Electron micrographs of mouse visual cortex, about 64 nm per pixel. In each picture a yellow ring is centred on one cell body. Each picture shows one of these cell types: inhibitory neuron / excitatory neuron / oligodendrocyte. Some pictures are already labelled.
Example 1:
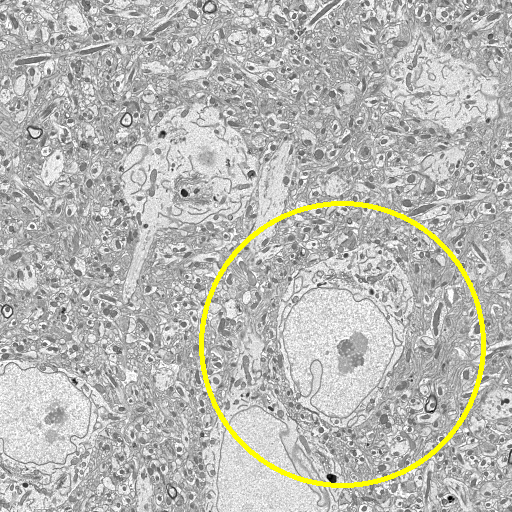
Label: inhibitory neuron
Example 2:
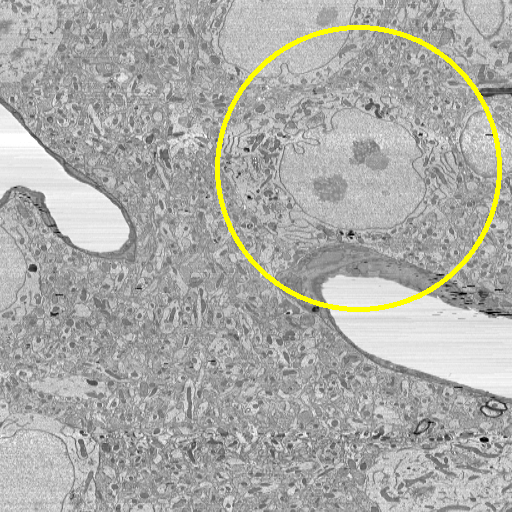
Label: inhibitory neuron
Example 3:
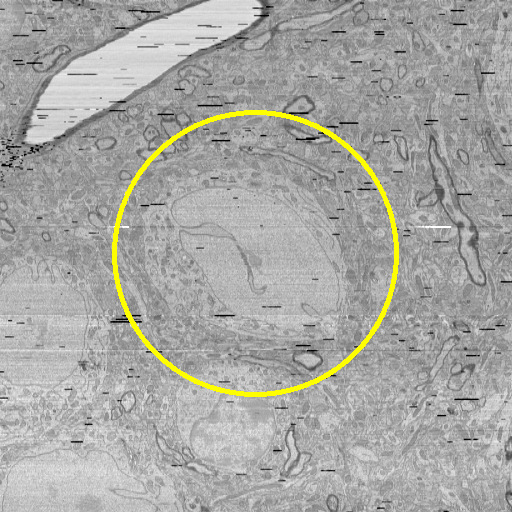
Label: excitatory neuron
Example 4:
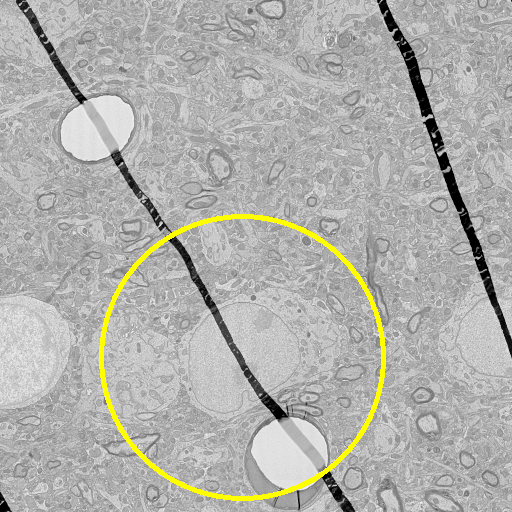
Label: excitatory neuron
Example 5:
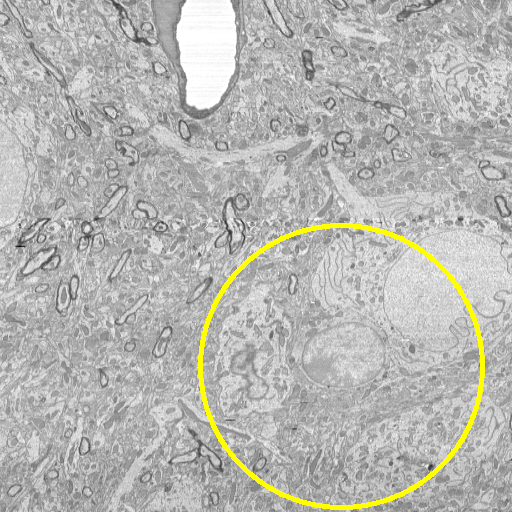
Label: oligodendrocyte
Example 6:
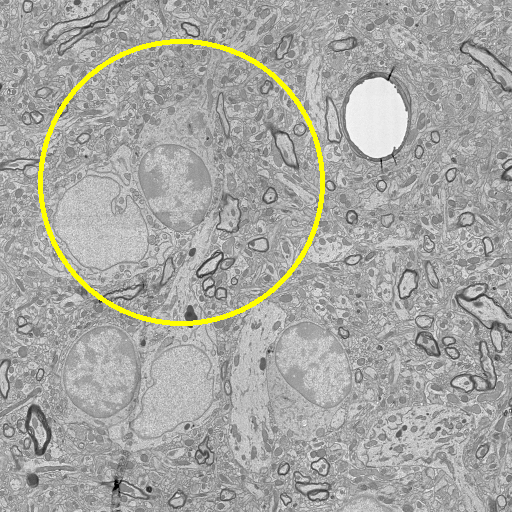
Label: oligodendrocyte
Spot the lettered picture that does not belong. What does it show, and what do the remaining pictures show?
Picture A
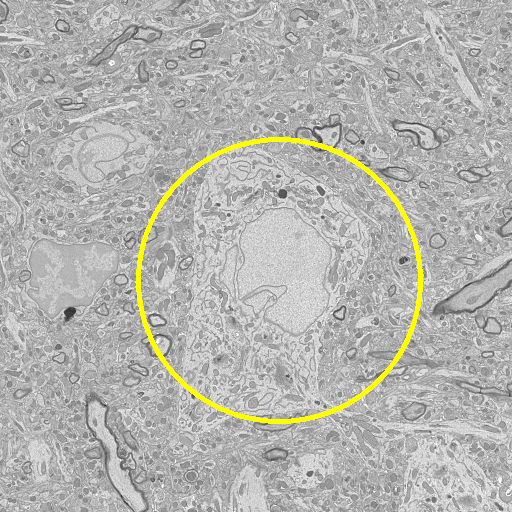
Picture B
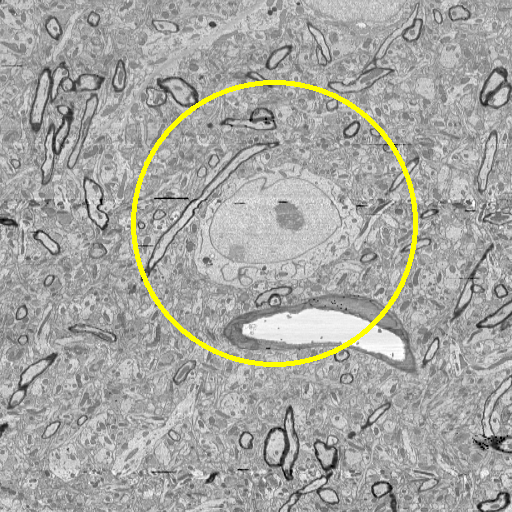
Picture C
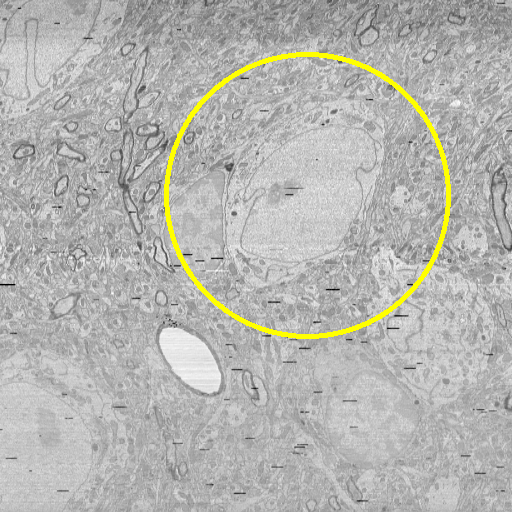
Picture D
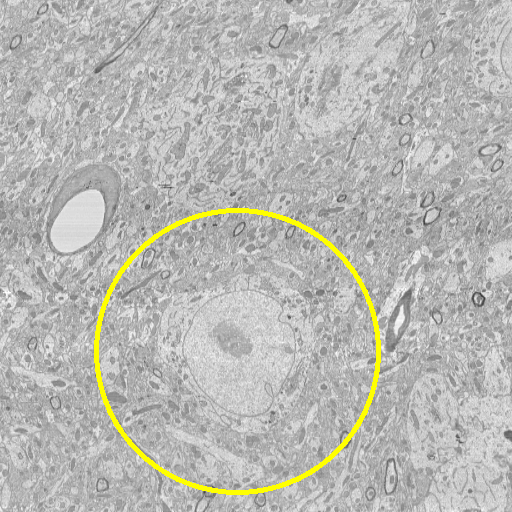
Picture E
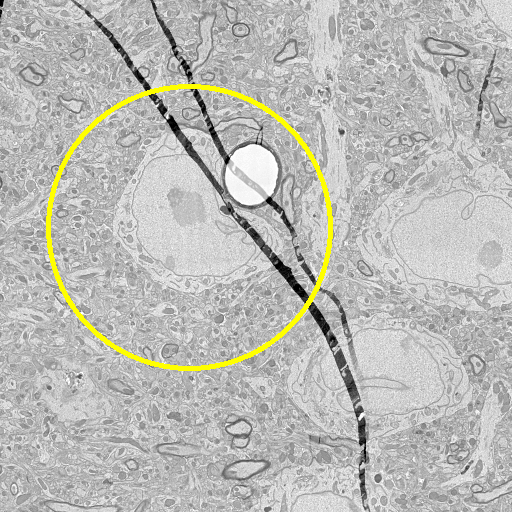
Odd one out: A (inhibitory neuron). The rest: excitatory neuron.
